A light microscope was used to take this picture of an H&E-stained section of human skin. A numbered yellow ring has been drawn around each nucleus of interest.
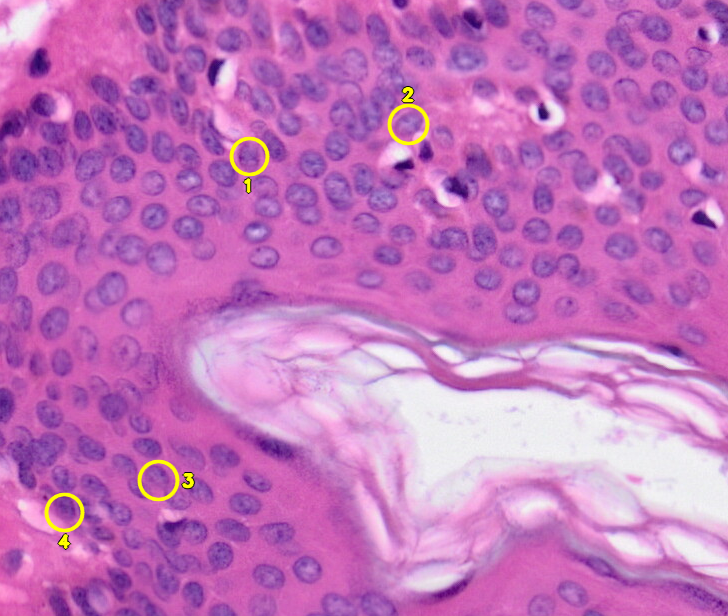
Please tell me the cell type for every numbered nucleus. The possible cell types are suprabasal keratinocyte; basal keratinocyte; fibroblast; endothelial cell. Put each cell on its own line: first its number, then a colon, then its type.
1: basal keratinocyte
2: basal keratinocyte
3: suprabasal keratinocyte
4: basal keratinocyte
